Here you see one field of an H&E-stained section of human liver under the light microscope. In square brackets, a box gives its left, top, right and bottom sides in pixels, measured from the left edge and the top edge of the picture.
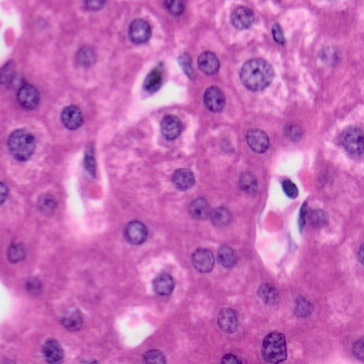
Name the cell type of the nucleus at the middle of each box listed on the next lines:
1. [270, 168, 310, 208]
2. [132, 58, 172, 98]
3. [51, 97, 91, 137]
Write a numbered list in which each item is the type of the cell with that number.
1. lymphocyte
2. Kupffer cell
3. hepatocyte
